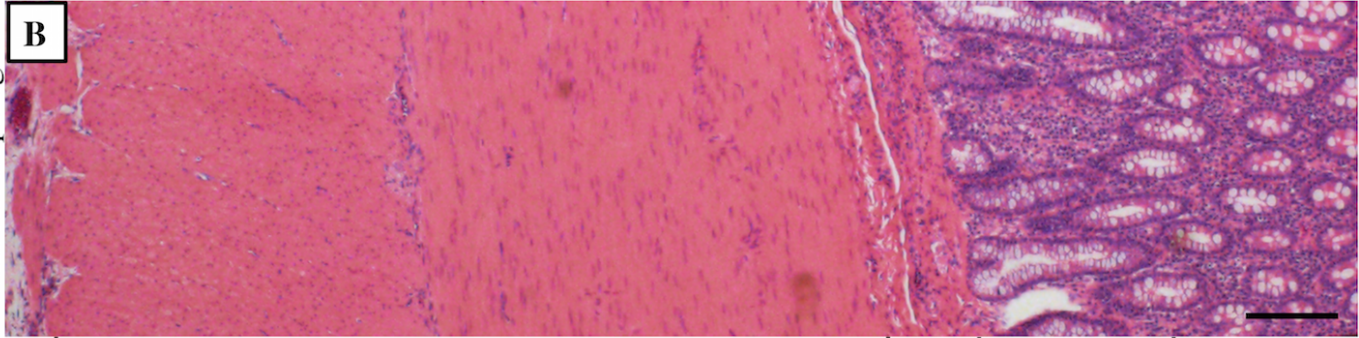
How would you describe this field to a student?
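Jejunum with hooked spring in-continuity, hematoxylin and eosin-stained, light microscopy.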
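This is the intestinal wall with a very broad pink smooth muscle coat, made of layers of spindle-shaped muscle cells running in different directions, occupying most of the field. On the right the mucosa shows closely packed, elongated crypts lined by columnar epithelium full of pale goblet cells, set in a cellular lamina propria.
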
